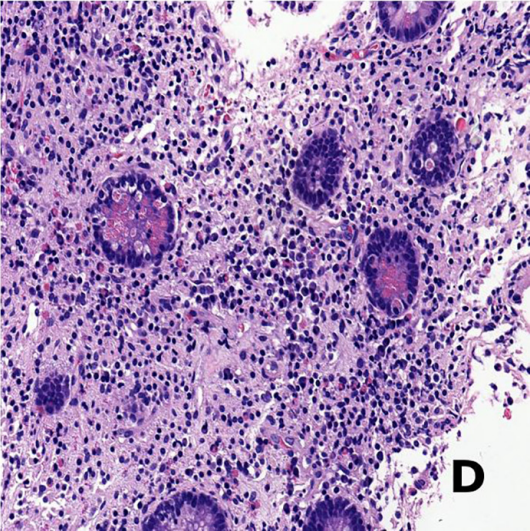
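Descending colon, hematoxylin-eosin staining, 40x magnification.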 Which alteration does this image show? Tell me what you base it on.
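Crypts are few, small and widely spaced. Most of the field is cellular lamina propria rather than glands.
Conclusion: Crypt atrophy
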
